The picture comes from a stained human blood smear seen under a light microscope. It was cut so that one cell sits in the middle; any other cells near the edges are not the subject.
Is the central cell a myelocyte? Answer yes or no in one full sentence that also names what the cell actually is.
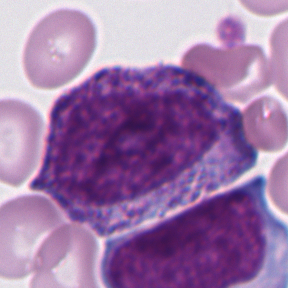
Yes, the identity of the central cell is that of a myelocyte.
